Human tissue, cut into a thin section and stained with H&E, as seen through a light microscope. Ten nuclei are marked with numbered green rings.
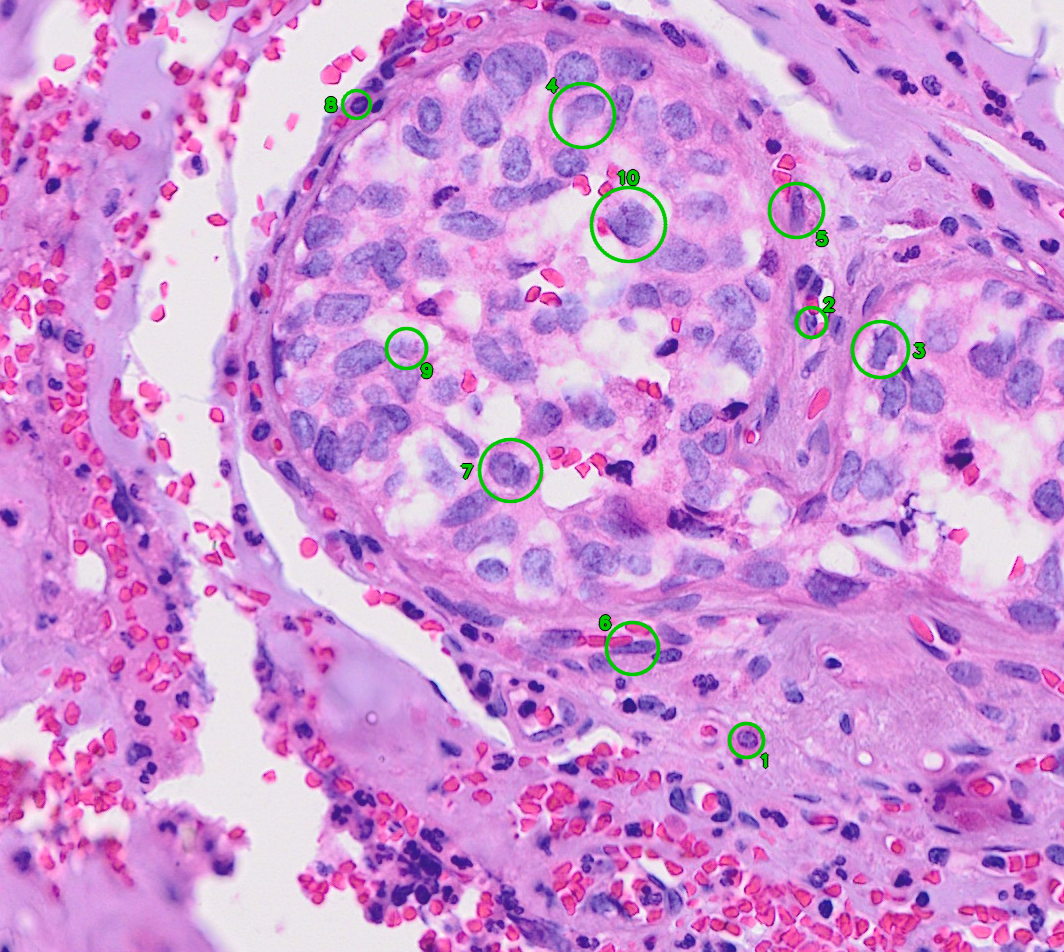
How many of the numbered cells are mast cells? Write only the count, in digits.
2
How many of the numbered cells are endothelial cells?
3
